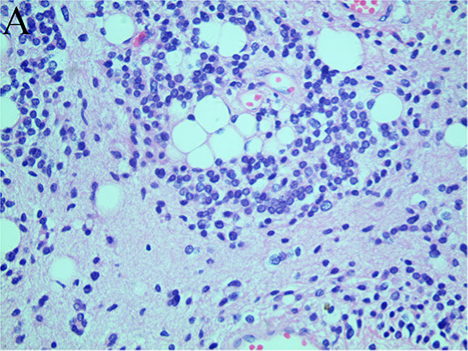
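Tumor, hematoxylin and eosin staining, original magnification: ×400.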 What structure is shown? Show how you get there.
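Large lipid vacuoles. Round, clear, empty spaces of varying size lie among the cells. Some clear spaces cluster together like fat cells. The spaces are much larger than the nearby nuclei.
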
